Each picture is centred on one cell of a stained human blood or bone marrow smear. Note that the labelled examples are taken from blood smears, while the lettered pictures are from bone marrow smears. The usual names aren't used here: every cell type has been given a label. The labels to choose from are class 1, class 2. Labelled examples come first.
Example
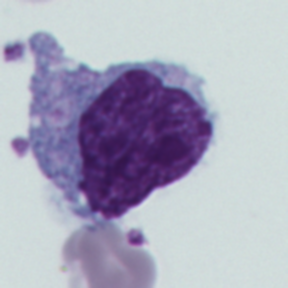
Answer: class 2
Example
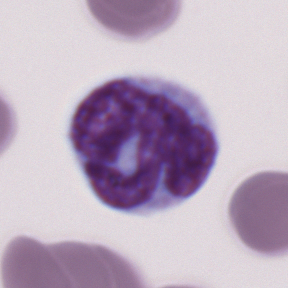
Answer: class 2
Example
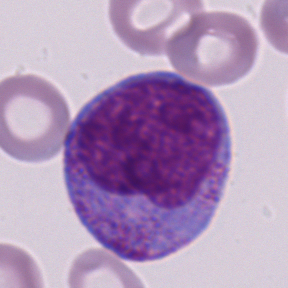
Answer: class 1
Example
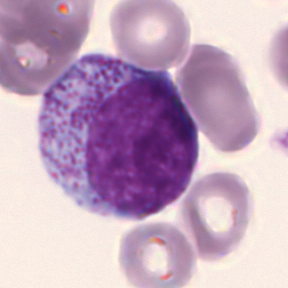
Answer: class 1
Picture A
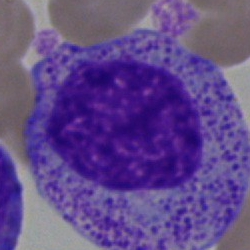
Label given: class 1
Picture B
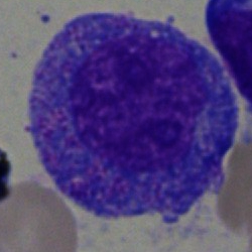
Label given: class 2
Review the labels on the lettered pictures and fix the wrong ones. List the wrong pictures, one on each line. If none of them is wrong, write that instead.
B should be class 1, not class 2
